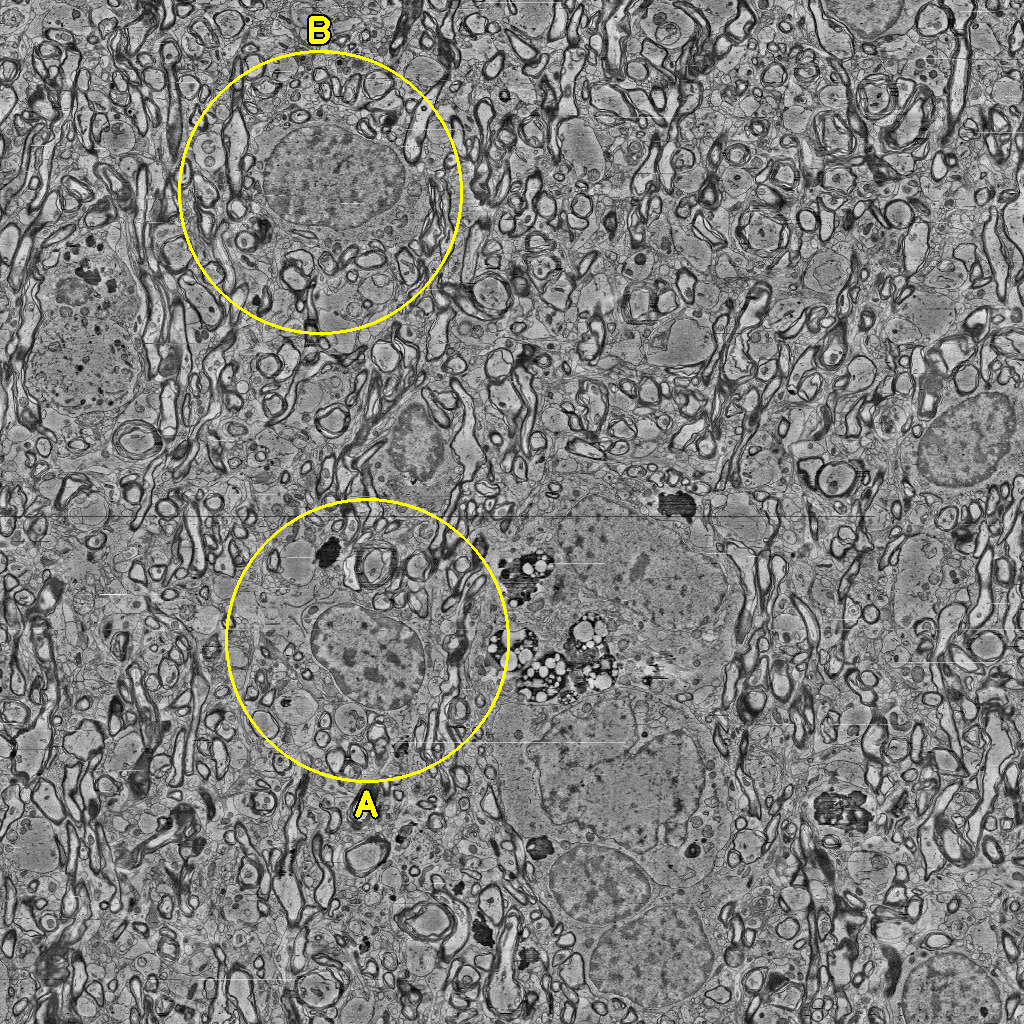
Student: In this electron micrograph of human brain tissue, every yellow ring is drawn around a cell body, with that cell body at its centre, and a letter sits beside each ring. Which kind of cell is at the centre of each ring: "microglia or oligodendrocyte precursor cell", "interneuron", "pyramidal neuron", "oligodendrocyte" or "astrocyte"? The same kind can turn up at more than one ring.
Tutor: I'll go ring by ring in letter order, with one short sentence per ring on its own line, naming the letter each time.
Ring A: the cell at its centre is a microglial cell or oligodendrocyte precursor cell.
Ring B: the cell at its centre is an oligodendrocyte.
